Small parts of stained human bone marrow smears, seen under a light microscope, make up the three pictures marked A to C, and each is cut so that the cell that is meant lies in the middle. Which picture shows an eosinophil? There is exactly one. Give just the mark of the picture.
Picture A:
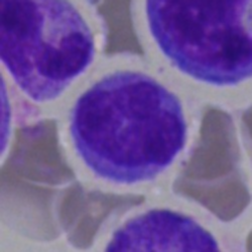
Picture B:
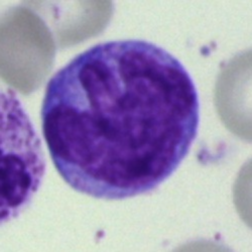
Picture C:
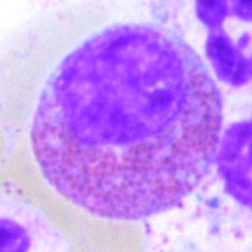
C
